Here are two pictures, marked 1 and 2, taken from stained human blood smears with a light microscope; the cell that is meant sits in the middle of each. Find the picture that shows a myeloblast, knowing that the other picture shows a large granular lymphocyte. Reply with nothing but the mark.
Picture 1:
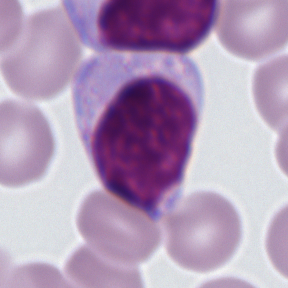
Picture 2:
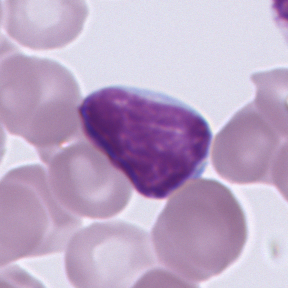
2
